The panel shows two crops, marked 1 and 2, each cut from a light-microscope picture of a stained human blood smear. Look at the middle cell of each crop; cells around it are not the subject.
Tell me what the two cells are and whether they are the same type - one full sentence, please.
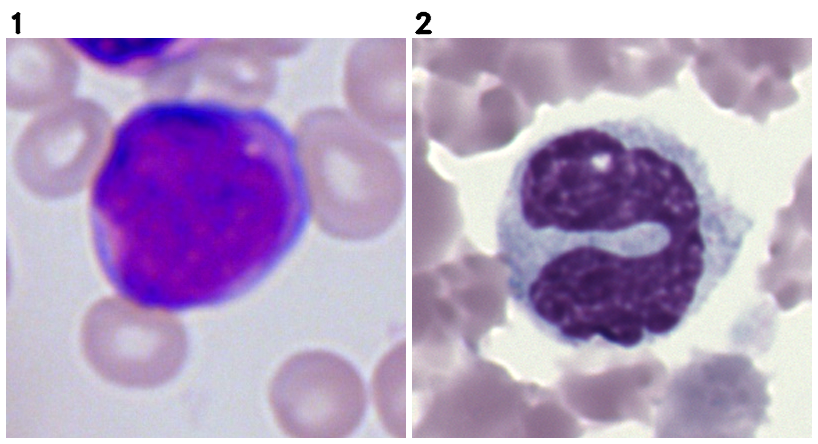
No, a blast is what crop 1 shows, and a monocyte is what crop 2 shows.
